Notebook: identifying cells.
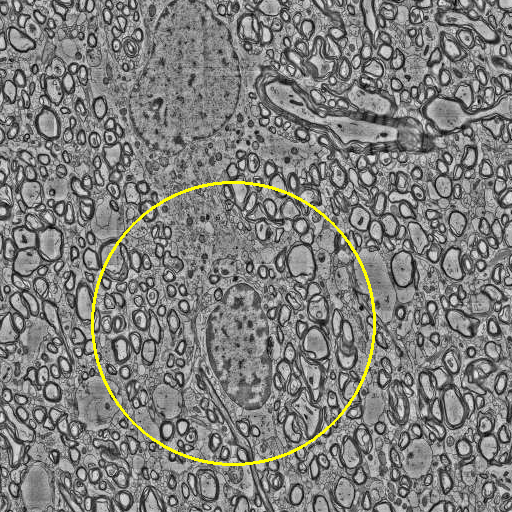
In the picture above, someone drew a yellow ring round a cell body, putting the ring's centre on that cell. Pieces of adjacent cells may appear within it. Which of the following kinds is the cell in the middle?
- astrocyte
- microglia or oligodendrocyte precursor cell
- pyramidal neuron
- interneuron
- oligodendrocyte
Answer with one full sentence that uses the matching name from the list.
In this picture, the yellow ring is centred on the body of a microglial cell or oligodendrocyte precursor cell.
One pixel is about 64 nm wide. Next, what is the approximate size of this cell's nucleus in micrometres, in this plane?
Roughly 8 micrometres by 4 micrometres, in this plane.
